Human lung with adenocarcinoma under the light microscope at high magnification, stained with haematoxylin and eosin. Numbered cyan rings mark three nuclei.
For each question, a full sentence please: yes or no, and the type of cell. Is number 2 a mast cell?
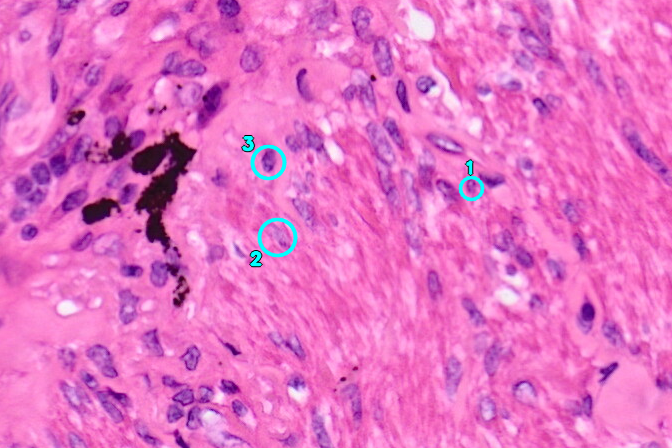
No, cell 2 has been misnamed; it is a smooth muscle cell or pericyte, not a mast cell.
